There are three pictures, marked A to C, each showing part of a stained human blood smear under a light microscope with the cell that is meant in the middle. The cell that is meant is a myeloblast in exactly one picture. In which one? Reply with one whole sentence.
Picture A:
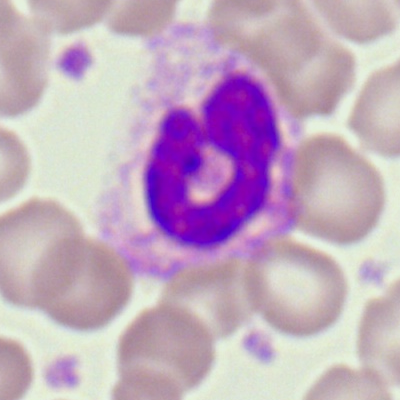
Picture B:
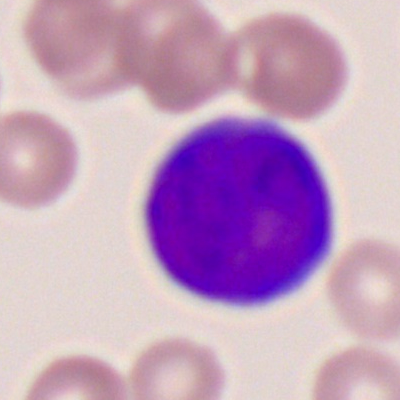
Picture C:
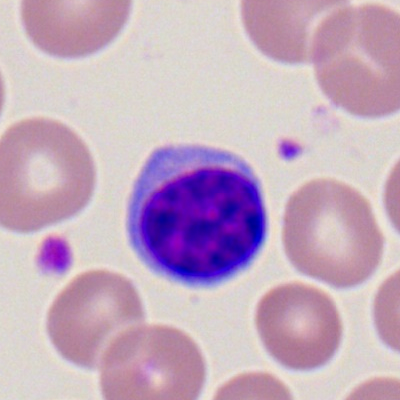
Picture B is the one that shows the myeloblast.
